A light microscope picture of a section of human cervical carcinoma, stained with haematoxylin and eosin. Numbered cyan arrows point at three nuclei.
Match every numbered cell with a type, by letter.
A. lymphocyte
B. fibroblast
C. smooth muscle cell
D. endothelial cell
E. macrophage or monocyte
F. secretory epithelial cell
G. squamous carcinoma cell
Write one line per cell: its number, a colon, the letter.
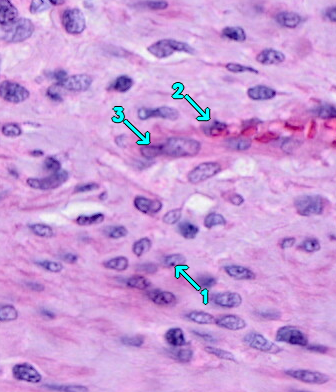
1: C
2: D
3: D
